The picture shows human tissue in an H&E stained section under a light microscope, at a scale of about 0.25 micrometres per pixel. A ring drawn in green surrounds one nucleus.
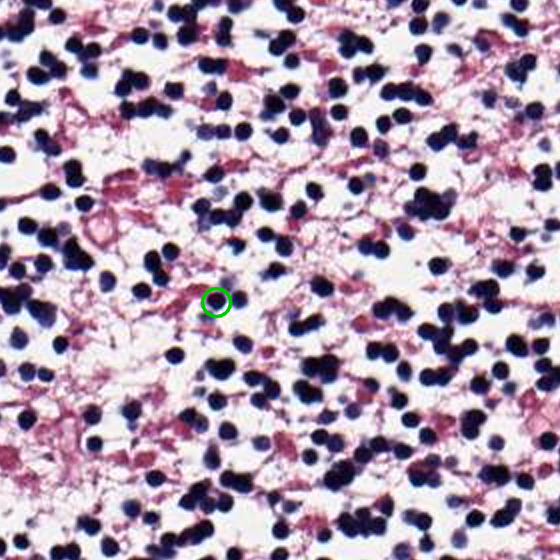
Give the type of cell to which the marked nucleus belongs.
cerebellar granule cell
